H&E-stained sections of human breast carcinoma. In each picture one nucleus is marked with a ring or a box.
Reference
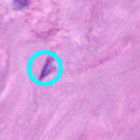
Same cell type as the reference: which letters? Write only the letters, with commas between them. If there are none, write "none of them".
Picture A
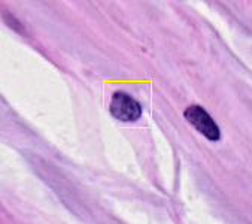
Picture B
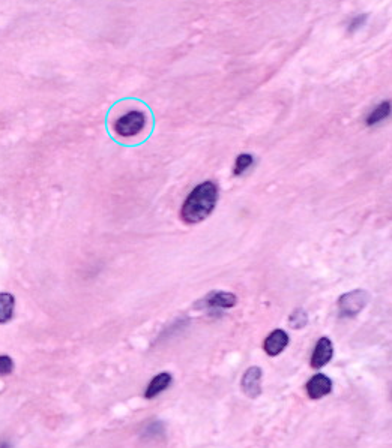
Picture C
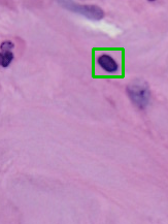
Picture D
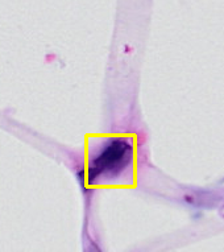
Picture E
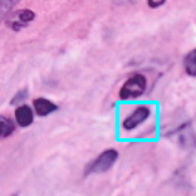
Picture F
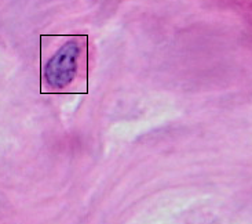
none of them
